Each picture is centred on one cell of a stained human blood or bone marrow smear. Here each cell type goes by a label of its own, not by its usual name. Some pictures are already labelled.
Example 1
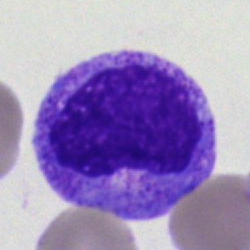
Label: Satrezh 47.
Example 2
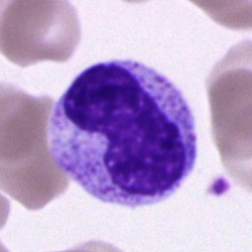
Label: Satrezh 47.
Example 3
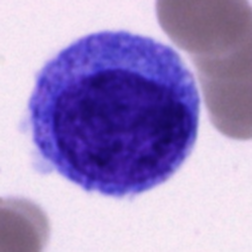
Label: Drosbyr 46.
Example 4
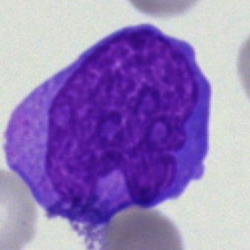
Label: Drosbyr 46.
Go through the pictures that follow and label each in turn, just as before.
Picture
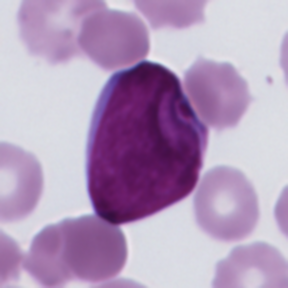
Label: Drosbyr 46.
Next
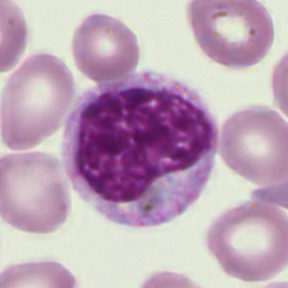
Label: Satrezh 47.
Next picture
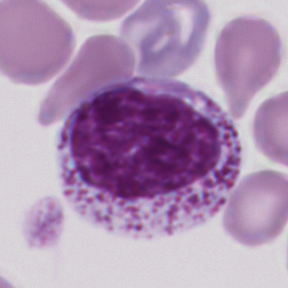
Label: Satrezh 47.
